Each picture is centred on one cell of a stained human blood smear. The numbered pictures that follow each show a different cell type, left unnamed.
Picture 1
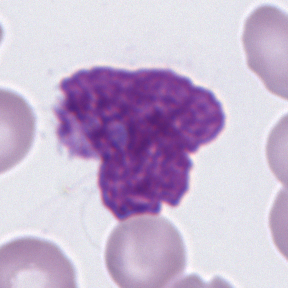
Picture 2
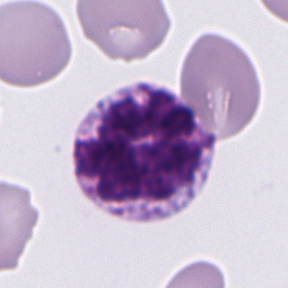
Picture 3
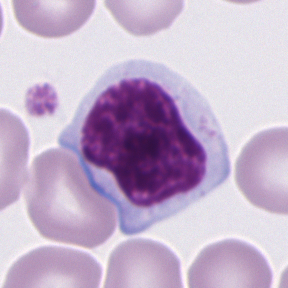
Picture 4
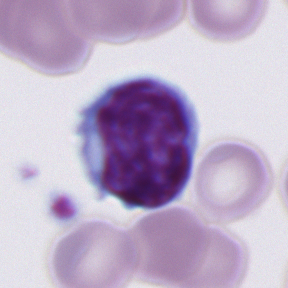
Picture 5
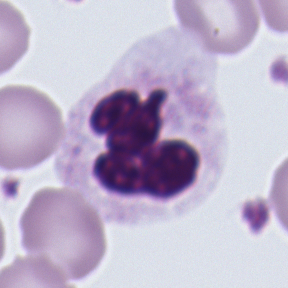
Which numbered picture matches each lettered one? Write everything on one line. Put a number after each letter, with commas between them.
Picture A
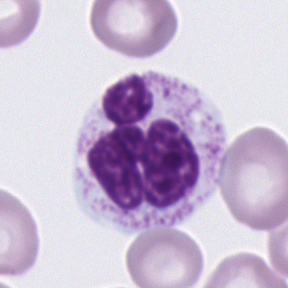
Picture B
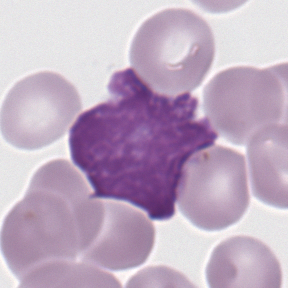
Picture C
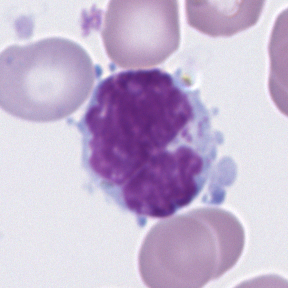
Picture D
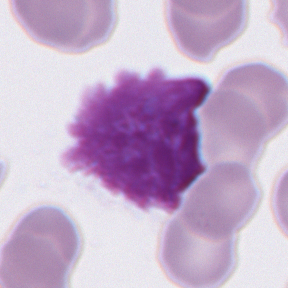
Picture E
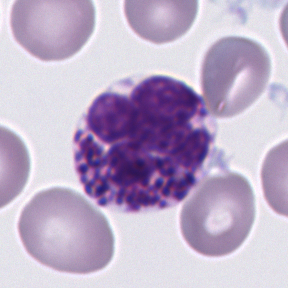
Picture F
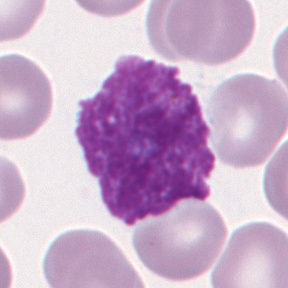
A 5, B 1, C 3, D 1, E 2, F 1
